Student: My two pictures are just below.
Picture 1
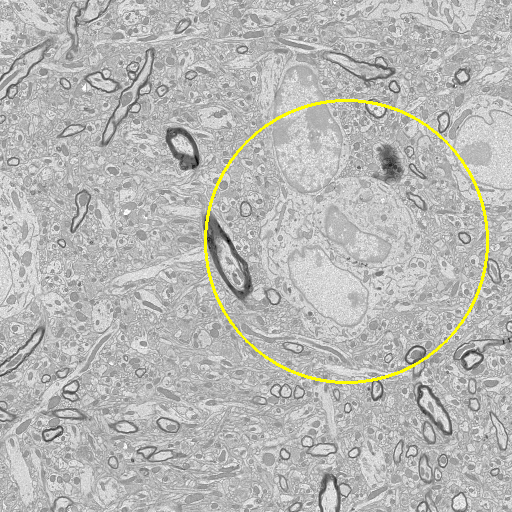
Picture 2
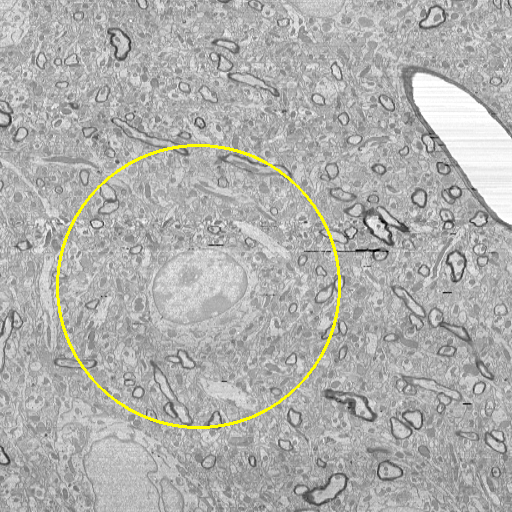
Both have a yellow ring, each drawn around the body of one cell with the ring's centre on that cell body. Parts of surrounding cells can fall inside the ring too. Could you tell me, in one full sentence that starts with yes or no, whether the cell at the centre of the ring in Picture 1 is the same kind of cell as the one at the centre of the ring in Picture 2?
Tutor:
Yes, the two cells are of the same kind.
